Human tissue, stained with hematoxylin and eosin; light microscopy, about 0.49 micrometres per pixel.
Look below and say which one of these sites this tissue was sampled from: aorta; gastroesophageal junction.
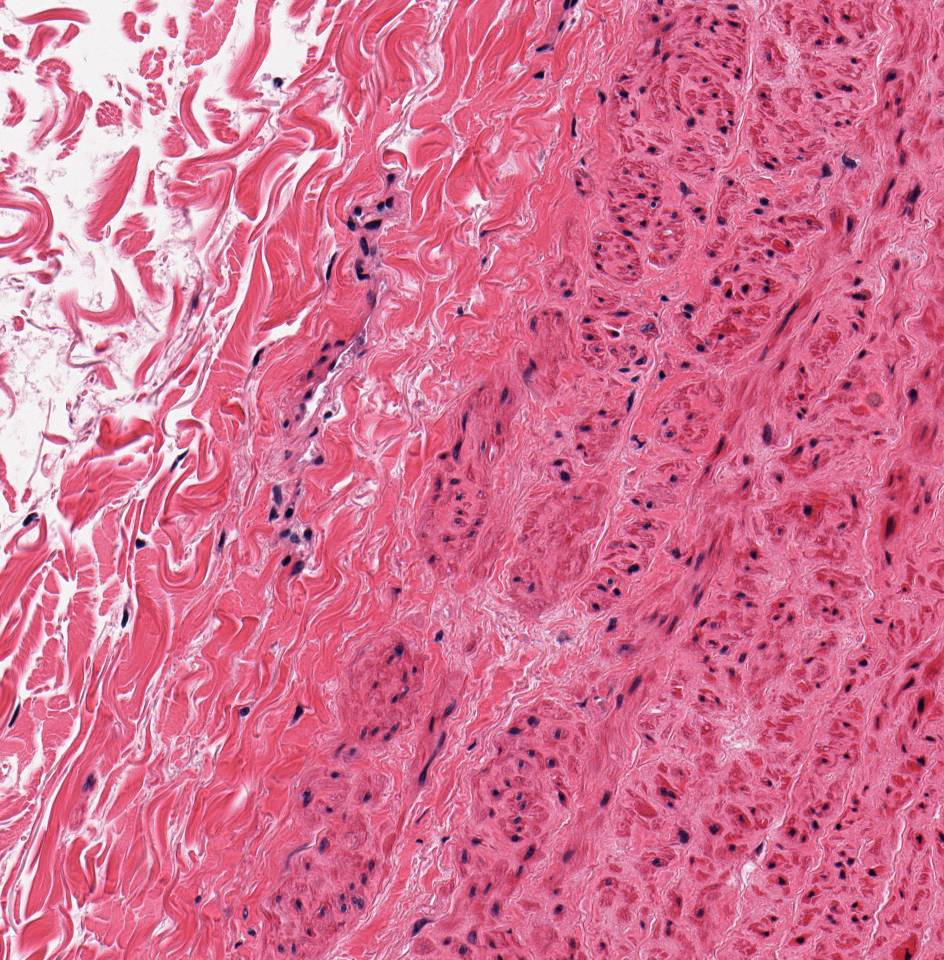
aorta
